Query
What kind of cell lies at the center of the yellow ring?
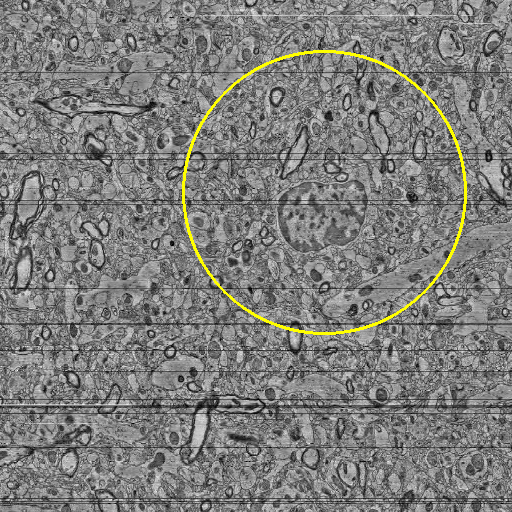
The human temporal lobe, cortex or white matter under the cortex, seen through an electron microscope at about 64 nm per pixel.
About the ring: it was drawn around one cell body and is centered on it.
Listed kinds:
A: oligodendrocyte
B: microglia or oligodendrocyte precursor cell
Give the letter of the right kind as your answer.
B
